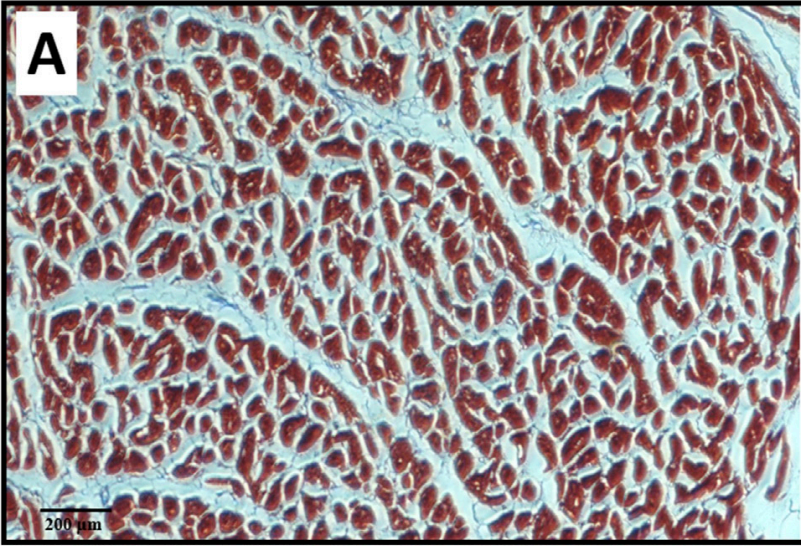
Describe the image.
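This is cardiac muscle cut in cross-section, showing cardiomyocytes stained deep red. The fibers appear as small, rounded to irregular and sometimes branched profiles, fairly uniform in size. They are gathered into bundles that follow curving, roughly parallel tracks across the field. Between the fibers and the bundles lie pale, clear spaces, with only thin, delicate blue-stained strands of connective tissue; there are no broad blue bands. Overall the tissue looks orderly, with small fibers in regular bundles and little collagen between them.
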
